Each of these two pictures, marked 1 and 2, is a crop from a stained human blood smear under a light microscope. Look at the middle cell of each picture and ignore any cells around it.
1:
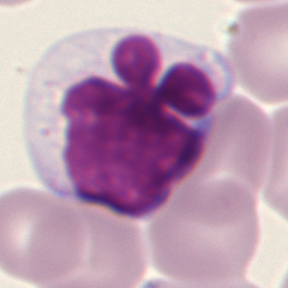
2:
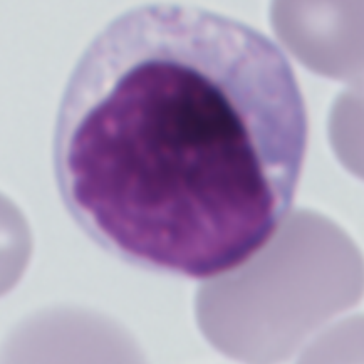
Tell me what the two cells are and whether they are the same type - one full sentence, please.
Yes, the cells at the centres of the two crops are large granular lymphocytes.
